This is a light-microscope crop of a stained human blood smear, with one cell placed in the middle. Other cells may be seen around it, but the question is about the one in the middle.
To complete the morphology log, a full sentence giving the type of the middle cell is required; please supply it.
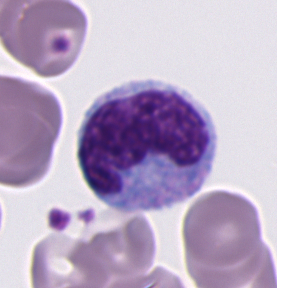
At the crop's centre, the cell is a monocyte.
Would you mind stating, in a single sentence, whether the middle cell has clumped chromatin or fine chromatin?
The chromatin of this one is coarsely clumped.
